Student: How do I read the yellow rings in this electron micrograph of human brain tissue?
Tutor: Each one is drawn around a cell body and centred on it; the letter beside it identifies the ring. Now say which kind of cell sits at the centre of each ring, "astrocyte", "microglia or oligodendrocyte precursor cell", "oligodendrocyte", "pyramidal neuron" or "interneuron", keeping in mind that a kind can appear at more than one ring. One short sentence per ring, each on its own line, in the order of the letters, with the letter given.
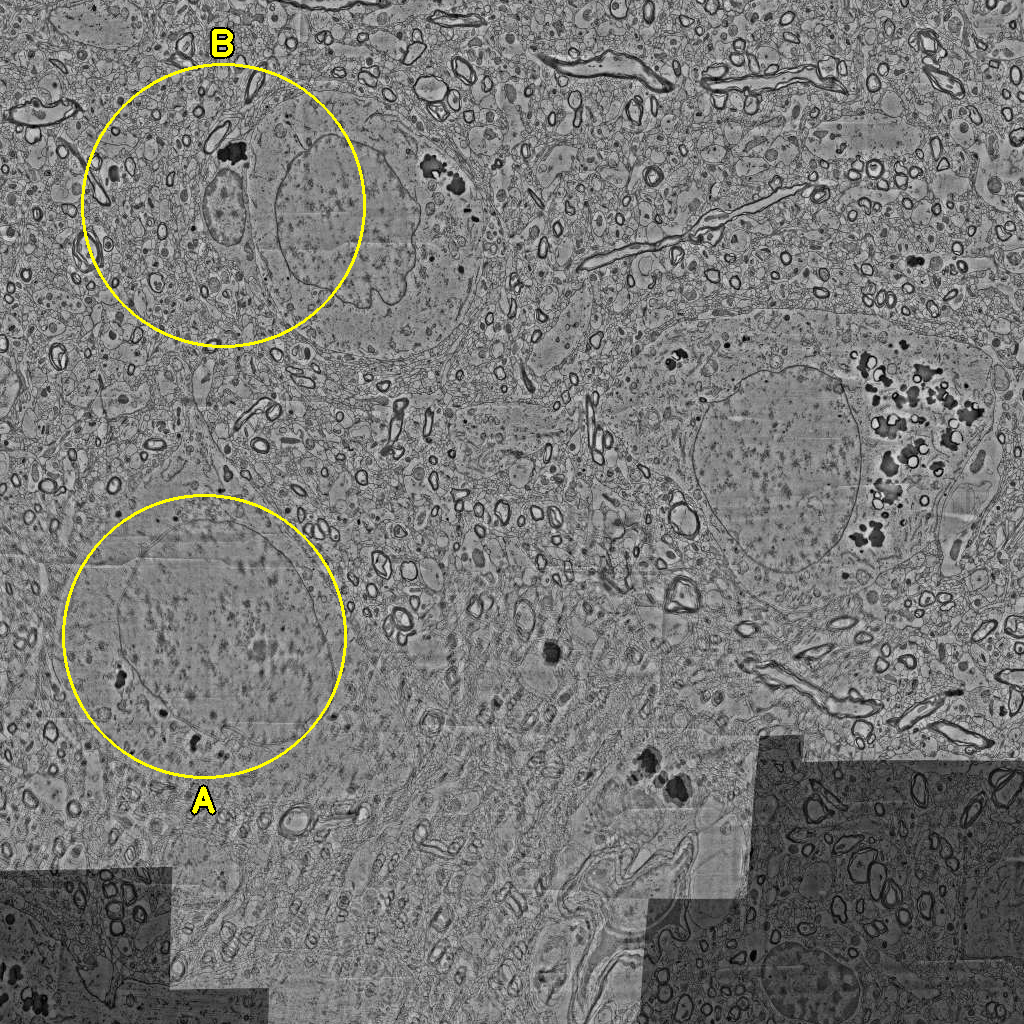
In the centre of ring A is a pyramidal neuron.
In the centre of ring B is an oligodendrocyte.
